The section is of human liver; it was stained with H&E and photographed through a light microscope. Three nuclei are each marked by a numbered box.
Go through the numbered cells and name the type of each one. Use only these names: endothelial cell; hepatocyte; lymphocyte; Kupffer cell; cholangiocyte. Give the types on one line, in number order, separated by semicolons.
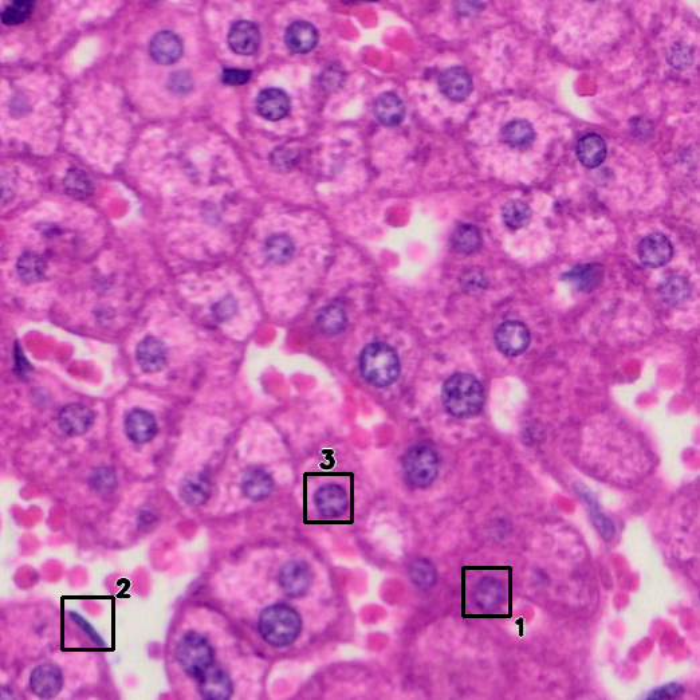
hepatocyte; endothelial cell; hepatocyte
